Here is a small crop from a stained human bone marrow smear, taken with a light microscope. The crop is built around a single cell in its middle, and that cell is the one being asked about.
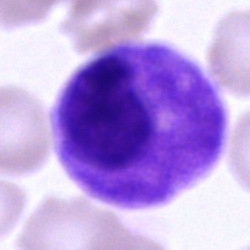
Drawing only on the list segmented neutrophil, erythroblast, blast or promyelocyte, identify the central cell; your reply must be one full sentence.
At the crop's centre, the cell is a promyelocyte.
